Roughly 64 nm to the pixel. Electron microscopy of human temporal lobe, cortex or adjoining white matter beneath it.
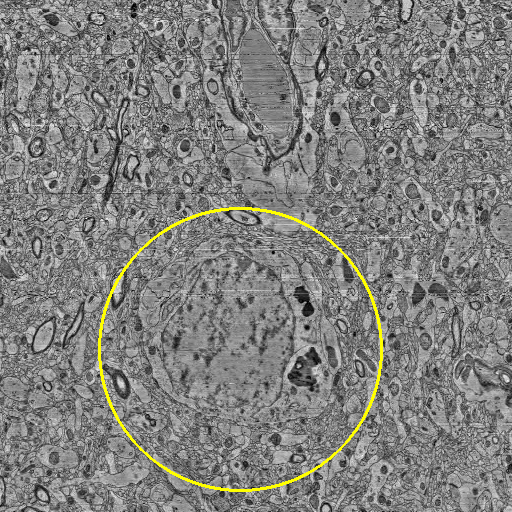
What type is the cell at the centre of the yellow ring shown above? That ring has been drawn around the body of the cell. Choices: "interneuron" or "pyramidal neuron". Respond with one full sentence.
My answer is that an interneuron lies at the centre of the yellow ring above.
